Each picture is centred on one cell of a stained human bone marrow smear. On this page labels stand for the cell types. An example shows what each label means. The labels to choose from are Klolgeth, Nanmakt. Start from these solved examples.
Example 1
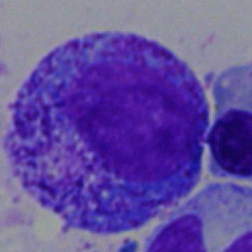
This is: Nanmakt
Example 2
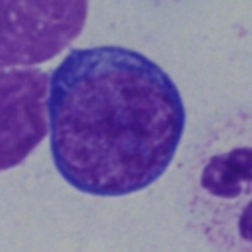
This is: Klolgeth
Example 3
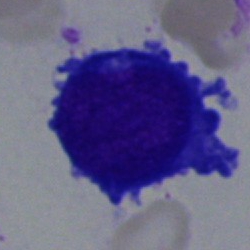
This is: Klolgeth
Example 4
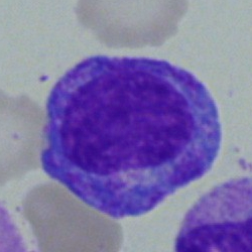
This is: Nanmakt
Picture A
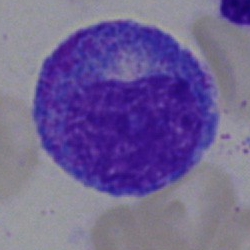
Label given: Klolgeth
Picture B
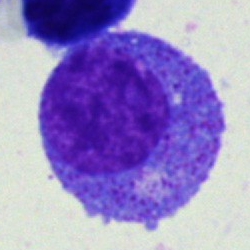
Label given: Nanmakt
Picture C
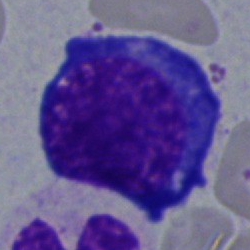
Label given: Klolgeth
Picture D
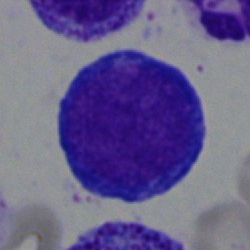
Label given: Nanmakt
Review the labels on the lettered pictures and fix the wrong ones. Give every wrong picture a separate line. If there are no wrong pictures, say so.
A is labelled Klolgeth; correct label: Nanmakt
D is labelled Nanmakt; correct label: Klolgeth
